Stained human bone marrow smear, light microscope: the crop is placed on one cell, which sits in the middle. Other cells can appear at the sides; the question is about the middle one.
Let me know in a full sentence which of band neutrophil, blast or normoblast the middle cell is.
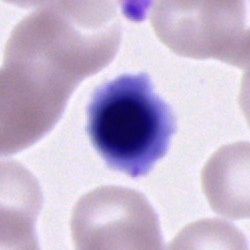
The crop shows a normoblast in its centre.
